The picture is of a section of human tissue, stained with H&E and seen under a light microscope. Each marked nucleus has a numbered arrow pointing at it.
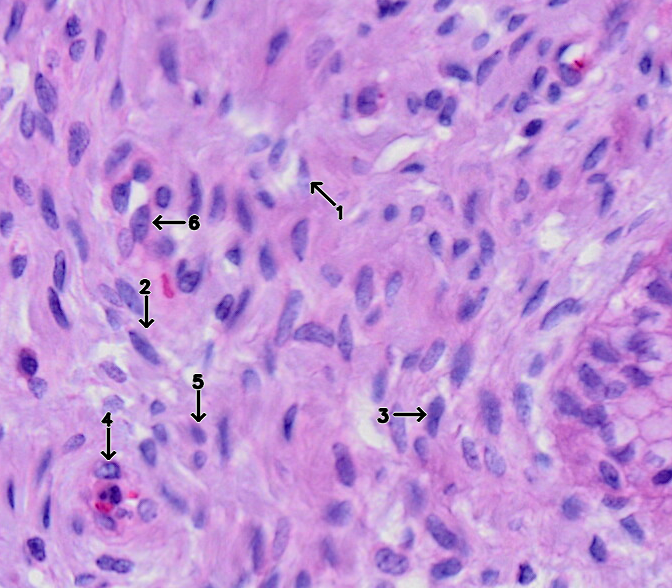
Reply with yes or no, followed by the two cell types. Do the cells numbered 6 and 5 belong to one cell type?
No, cell number 6 is an endothelial cell, and cell number 5 is a fibroblast.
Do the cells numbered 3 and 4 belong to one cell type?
No, just to clarify, cell 3 is a fibroblast and cell 4 is an endothelial cell.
